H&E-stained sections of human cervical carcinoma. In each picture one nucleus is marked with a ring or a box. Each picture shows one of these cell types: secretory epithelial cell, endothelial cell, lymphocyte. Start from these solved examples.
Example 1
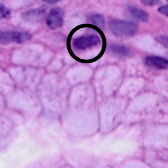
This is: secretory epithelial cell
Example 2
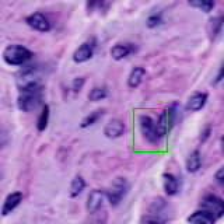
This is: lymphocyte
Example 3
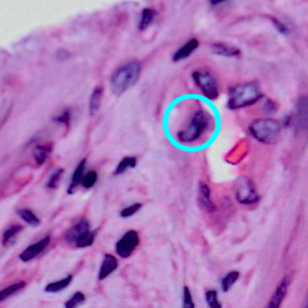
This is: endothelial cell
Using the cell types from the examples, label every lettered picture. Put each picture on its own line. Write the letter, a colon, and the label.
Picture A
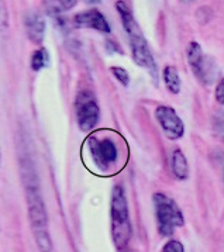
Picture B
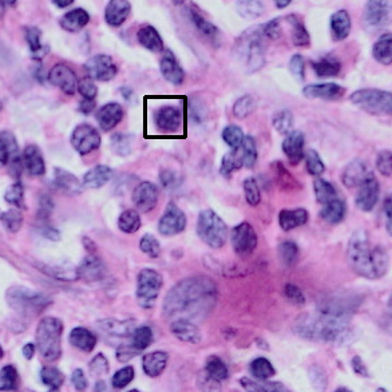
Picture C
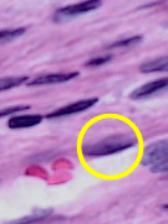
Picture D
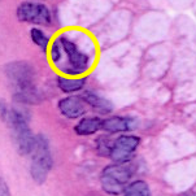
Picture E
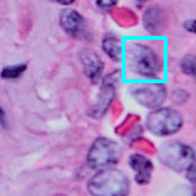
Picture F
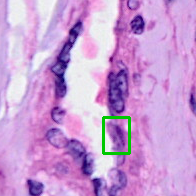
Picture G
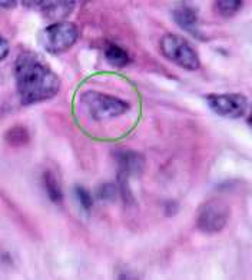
A: lymphocyte
B: lymphocyte
C: endothelial cell
D: secretory epithelial cell
E: endothelial cell
F: endothelial cell
G: endothelial cell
